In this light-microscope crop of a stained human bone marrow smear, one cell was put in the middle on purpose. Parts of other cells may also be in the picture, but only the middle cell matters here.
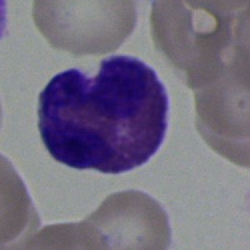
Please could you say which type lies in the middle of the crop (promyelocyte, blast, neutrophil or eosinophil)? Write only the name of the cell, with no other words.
eosinophil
